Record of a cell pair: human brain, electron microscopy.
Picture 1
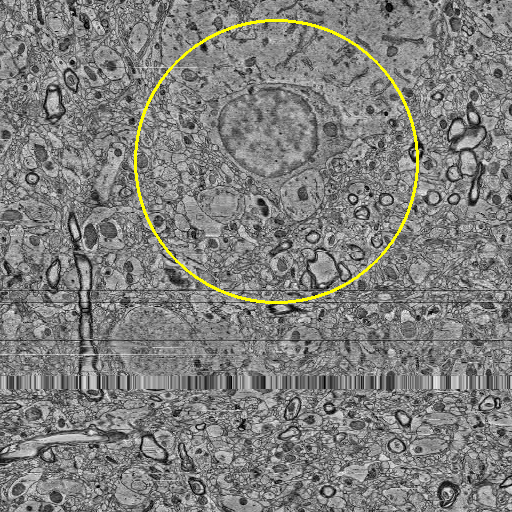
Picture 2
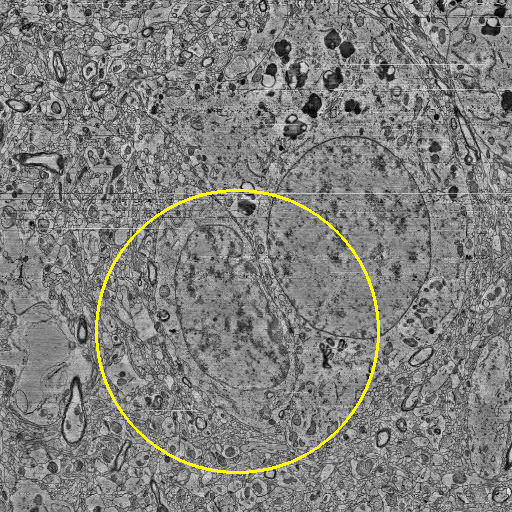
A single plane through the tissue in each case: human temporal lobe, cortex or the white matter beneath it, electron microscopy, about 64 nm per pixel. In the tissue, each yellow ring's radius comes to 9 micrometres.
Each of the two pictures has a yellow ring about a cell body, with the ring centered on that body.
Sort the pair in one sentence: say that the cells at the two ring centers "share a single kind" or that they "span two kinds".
The cells centered in the rings of Pictures 1 and 2 span two kinds.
